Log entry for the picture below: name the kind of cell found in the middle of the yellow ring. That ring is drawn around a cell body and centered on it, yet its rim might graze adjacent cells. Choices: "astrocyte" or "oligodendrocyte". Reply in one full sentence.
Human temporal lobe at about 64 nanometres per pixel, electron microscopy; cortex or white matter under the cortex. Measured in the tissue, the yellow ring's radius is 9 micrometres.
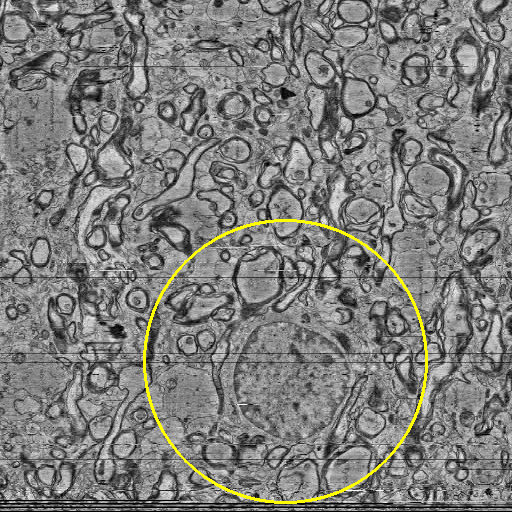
The cell in the middle of the yellow ring in this picture is an oligodendrocyte.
